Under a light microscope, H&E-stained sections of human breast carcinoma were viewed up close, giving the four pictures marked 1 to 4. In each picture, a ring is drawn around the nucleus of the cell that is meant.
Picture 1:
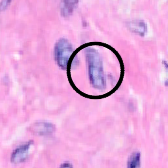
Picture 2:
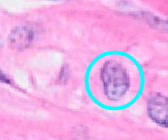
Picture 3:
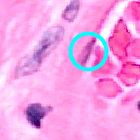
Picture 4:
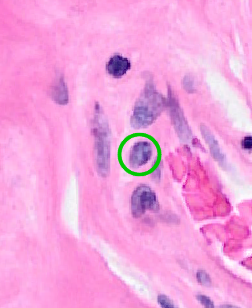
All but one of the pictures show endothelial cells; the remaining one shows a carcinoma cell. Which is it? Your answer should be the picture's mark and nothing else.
2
